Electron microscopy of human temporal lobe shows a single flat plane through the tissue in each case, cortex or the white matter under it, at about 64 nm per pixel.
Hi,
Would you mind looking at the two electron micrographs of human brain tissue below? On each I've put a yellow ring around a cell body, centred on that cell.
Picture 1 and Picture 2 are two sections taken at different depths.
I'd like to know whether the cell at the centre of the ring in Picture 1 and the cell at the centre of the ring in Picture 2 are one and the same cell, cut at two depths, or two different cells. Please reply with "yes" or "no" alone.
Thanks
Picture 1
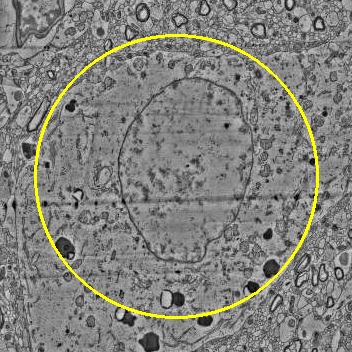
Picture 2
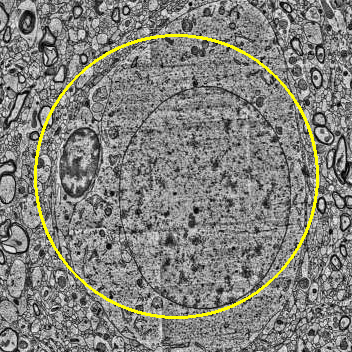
no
